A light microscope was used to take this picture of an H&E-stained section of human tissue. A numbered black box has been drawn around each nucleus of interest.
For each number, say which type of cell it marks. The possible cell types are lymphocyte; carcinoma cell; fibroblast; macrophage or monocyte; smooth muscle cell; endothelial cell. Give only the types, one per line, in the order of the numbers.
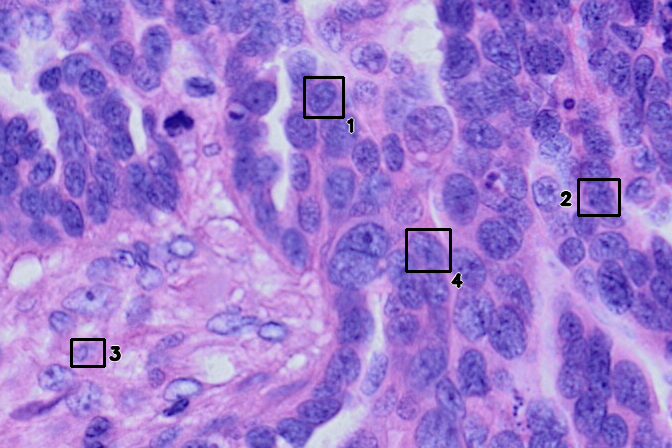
carcinoma cell
carcinoma cell
fibroblast
carcinoma cell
